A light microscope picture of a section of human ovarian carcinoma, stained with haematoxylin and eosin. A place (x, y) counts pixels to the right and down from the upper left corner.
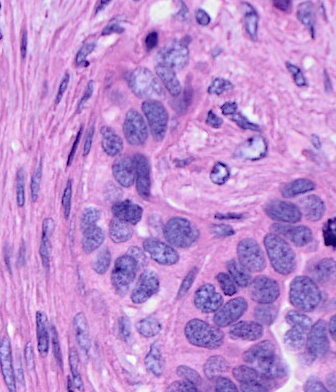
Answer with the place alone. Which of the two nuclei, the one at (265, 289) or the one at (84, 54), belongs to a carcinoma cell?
(265, 289)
